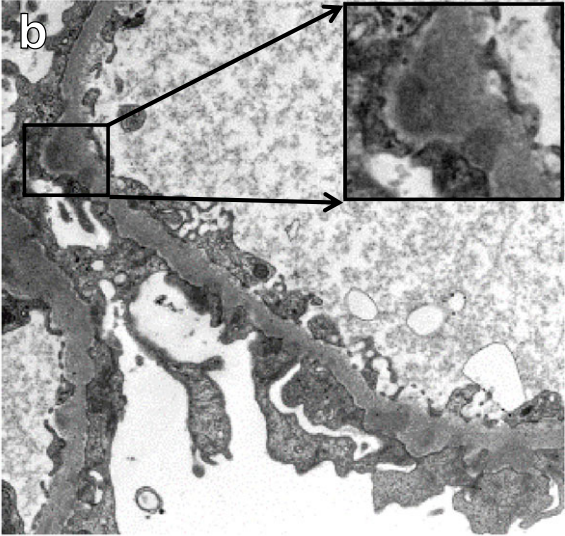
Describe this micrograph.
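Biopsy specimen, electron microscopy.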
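This electron micrograph shows a glomerular capillary wall with the grey basement membrane running diagonally and podocyte cytoplasm on its outer side. The podocyte covers the membrane as a flat, continuous sheet rather than as separate foot processes. In the boxed area, enlarged in the inset, a dark homogeneous dense deposit sits on the outer, subepithelial side of the membrane.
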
